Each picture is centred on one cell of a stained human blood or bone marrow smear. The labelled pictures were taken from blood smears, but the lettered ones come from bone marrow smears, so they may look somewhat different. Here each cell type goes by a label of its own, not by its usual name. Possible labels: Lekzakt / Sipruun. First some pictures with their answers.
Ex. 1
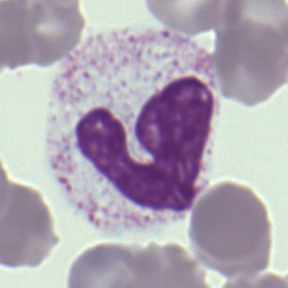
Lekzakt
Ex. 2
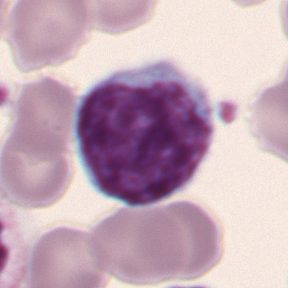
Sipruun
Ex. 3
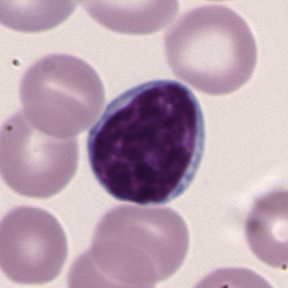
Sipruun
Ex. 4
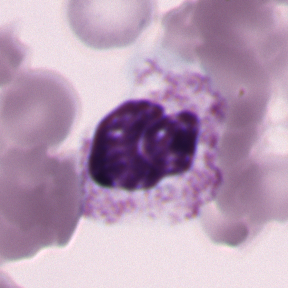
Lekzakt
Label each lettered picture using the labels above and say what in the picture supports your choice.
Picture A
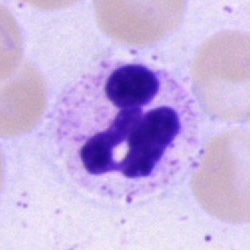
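Lekzakt. Evidence: Fine pinkish-violet granules are scattered through the cytoplasm.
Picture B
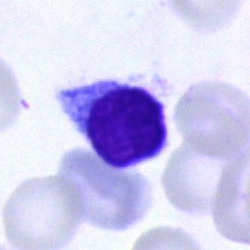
Sipruun. Evidence: The cytoplasm is scant compared with the nucleus.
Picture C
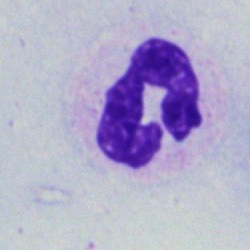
Lekzakt. Evidence: The nucleus is bent into a nearly closed ring around a pale central gap.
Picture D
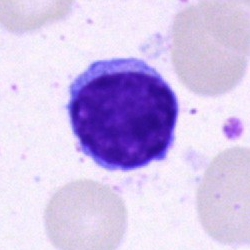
Sipruun. Evidence: The cytoplasm is scant and shows best as a narrow cap along the top of the cell.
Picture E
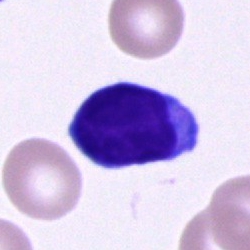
Sipruun. Evidence: The nucleus fills most of the cell.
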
